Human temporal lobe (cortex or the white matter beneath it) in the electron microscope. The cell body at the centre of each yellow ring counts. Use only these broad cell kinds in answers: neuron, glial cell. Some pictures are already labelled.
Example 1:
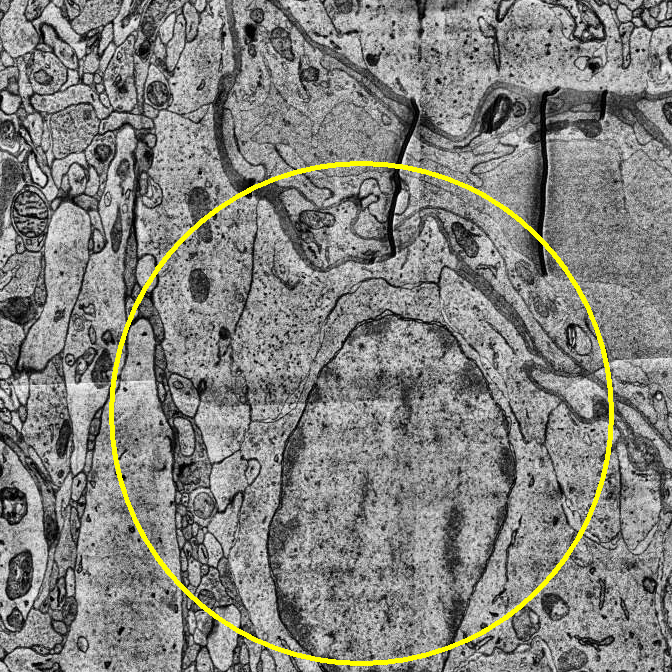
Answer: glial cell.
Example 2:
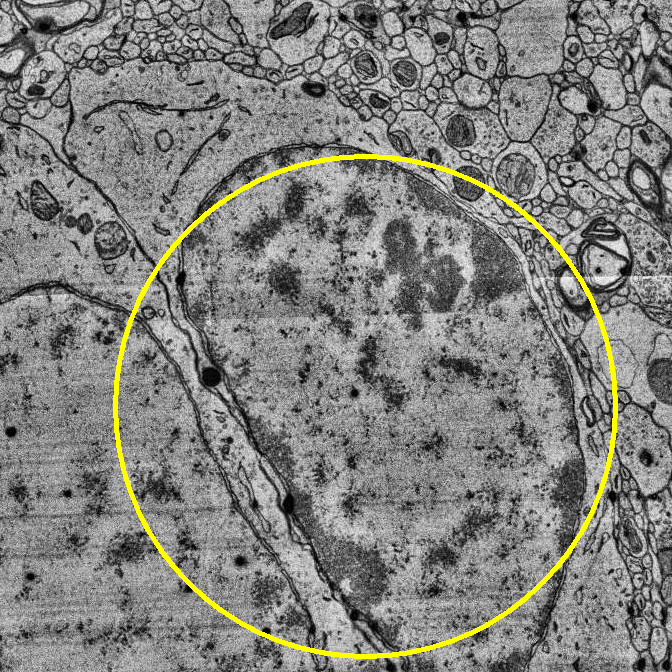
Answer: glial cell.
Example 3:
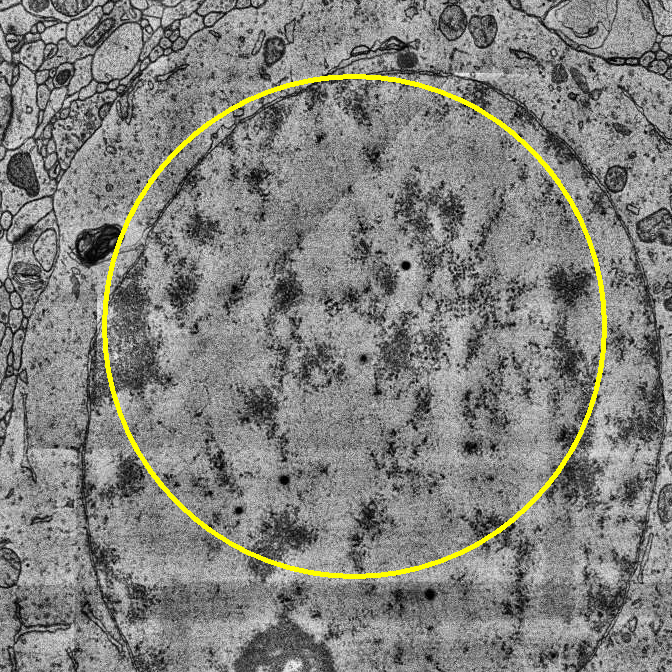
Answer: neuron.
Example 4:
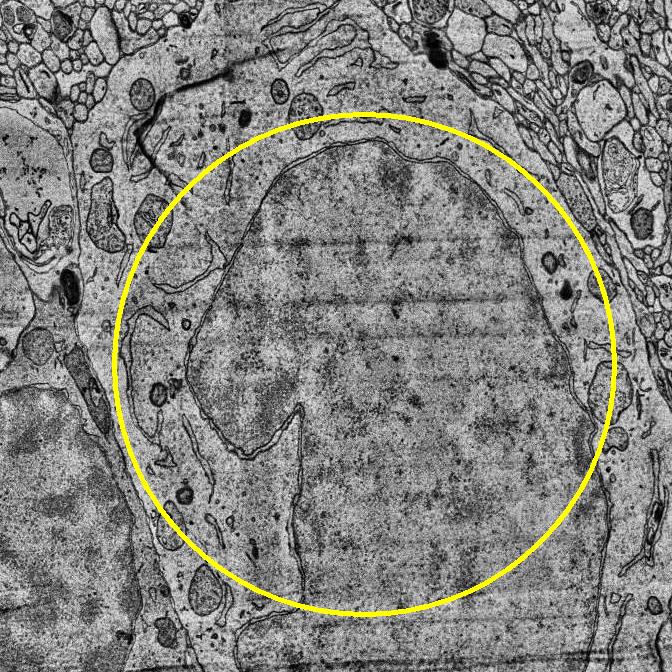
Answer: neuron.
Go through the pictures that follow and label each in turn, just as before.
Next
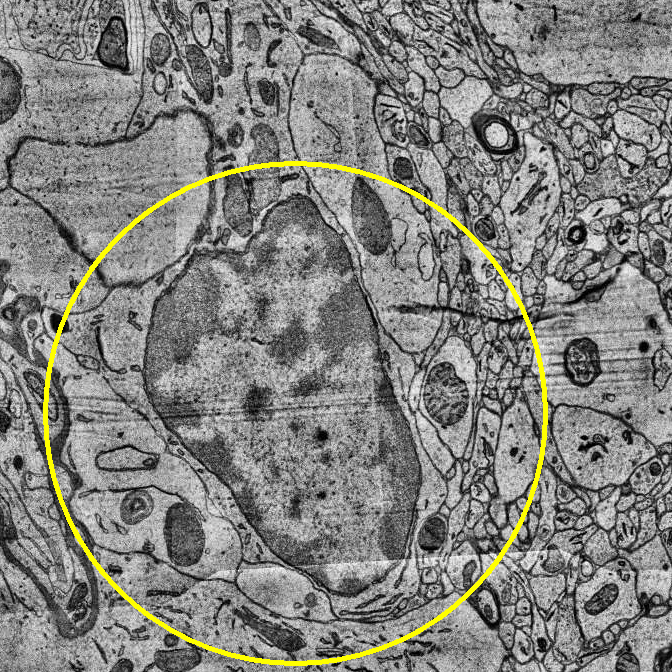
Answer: glial cell.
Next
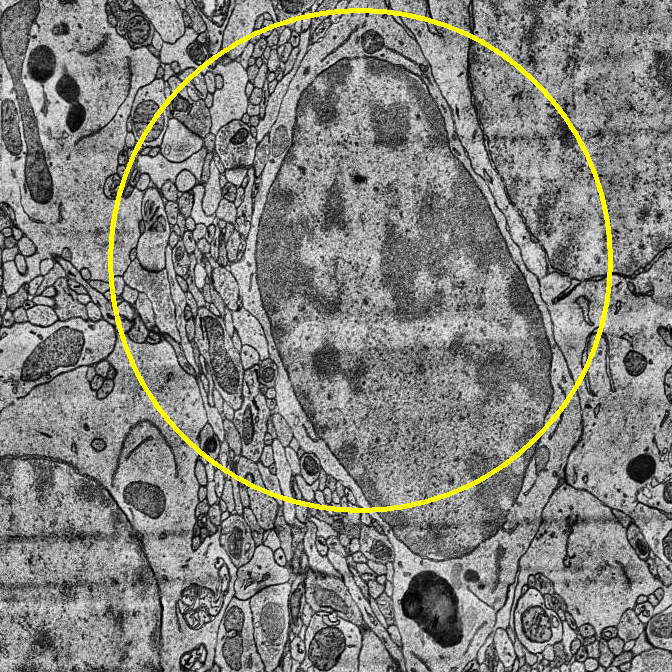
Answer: glial cell.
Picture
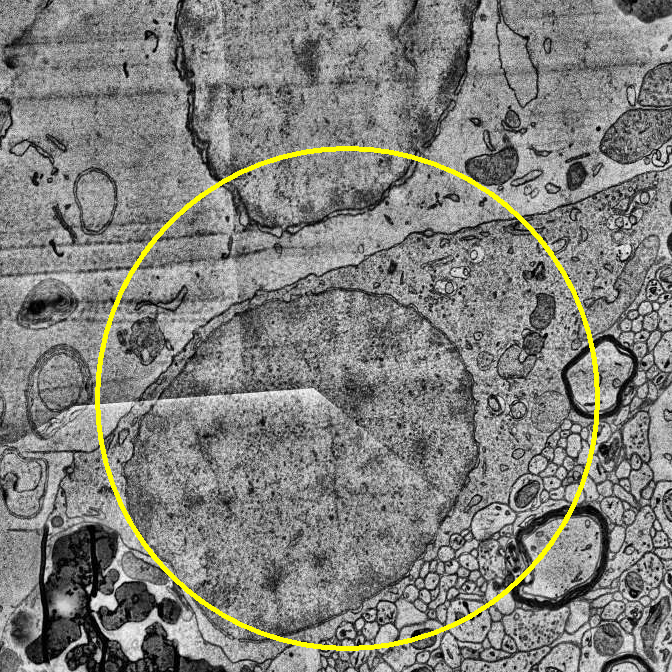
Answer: glial cell.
